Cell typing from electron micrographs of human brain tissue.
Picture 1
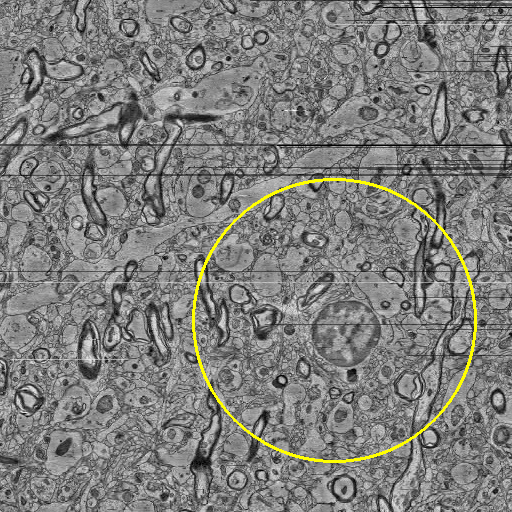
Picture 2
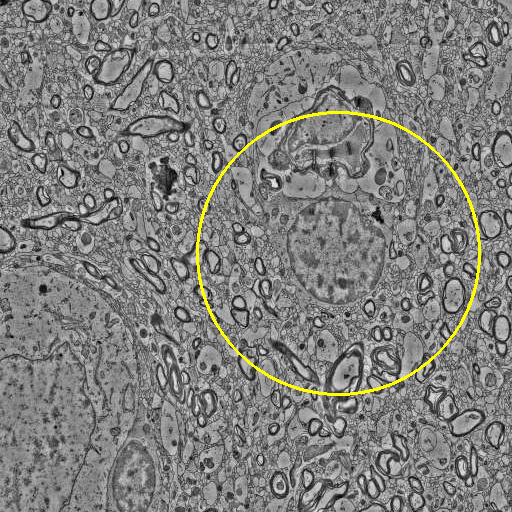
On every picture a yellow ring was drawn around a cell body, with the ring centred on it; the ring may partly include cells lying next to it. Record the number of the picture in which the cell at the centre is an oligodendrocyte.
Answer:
2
